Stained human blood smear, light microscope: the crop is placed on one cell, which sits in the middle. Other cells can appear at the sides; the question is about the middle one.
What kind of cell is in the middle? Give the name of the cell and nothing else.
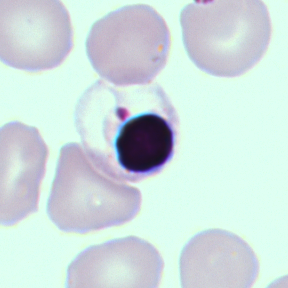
normoblast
